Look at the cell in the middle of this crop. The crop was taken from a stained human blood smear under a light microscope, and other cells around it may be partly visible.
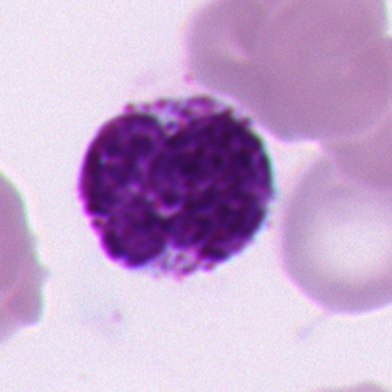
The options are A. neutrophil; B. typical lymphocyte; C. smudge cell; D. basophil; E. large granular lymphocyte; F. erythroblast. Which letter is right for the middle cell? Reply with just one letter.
D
